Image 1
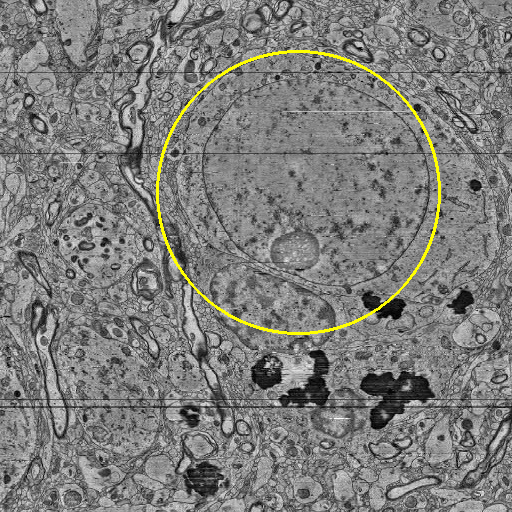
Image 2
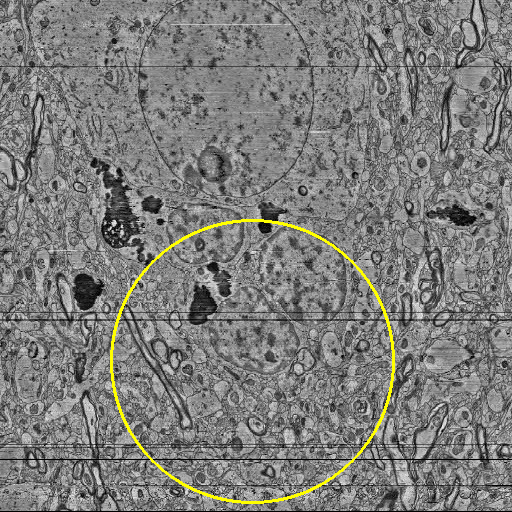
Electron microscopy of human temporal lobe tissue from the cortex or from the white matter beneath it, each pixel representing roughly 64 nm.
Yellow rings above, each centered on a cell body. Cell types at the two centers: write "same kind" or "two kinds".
two kinds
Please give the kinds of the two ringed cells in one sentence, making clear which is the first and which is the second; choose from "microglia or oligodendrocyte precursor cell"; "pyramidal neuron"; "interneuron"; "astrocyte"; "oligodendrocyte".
In the second picture the ringed cell is an oligodendrocyte; in the first it is a pyramidal neuron.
